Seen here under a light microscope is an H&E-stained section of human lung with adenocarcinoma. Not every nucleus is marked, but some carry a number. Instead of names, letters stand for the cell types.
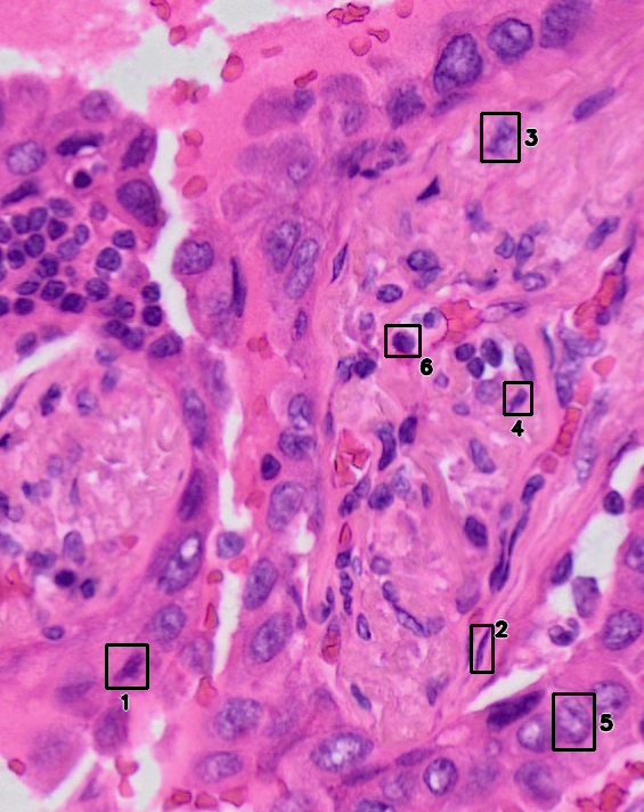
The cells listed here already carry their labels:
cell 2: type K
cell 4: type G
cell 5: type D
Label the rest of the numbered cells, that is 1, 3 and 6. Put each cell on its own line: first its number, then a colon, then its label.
1: type D
3: type K
6: type G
